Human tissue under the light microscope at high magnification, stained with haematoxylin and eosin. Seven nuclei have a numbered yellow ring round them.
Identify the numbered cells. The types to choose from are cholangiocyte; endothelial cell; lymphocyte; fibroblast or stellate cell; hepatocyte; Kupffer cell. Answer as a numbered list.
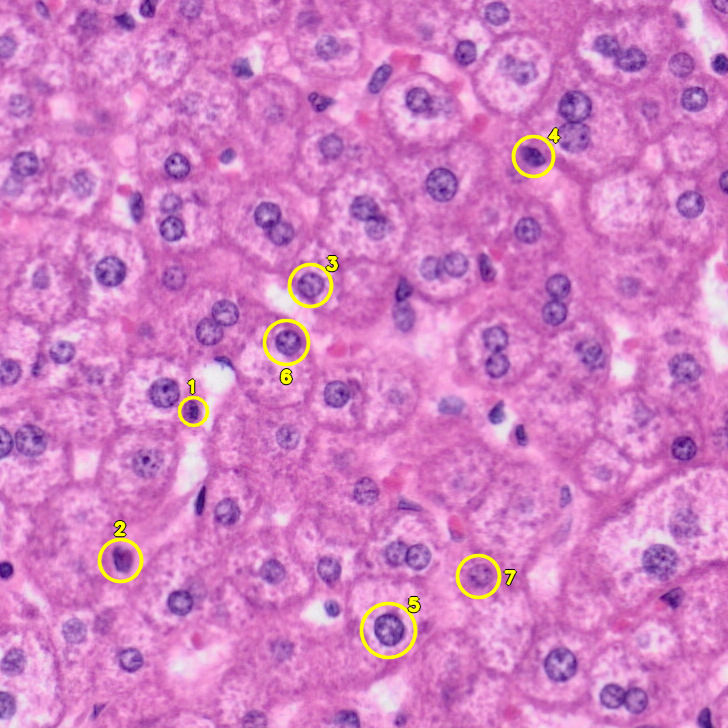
1. Kupffer cell
2. endothelial cell
3. hepatocyte
4. fibroblast or stellate cell
5. hepatocyte
6. hepatocyte
7. hepatocyte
